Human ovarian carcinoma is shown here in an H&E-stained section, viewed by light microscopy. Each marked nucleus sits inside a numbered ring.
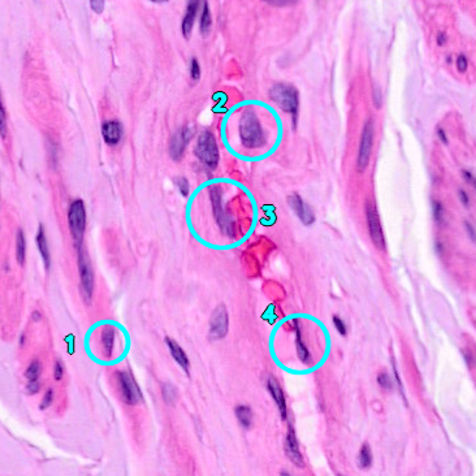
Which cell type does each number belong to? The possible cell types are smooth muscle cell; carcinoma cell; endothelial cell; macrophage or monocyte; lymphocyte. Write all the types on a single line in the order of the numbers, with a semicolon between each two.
smooth muscle cell; endothelial cell; endothelial cell; endothelial cell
